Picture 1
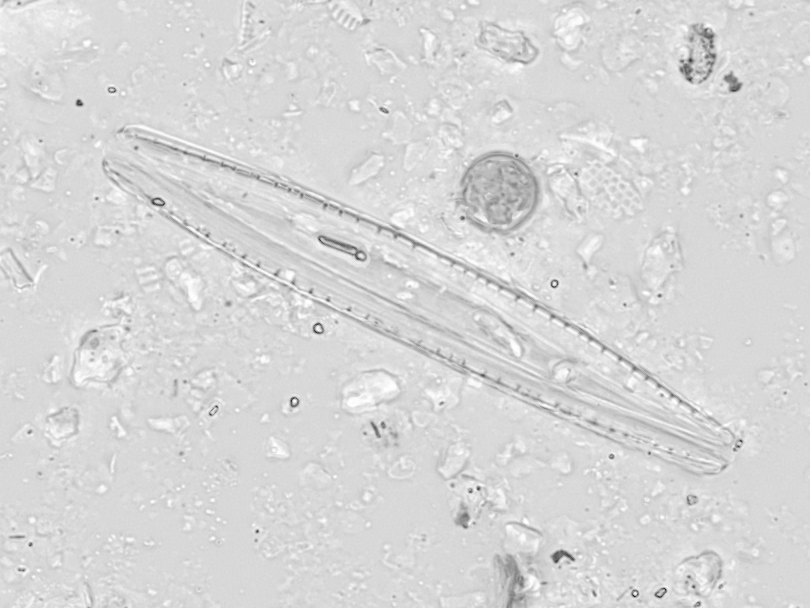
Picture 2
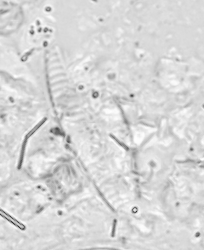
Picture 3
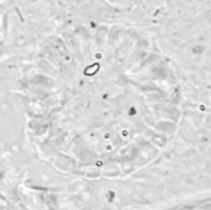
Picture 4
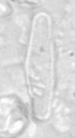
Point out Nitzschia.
That is picture 1.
